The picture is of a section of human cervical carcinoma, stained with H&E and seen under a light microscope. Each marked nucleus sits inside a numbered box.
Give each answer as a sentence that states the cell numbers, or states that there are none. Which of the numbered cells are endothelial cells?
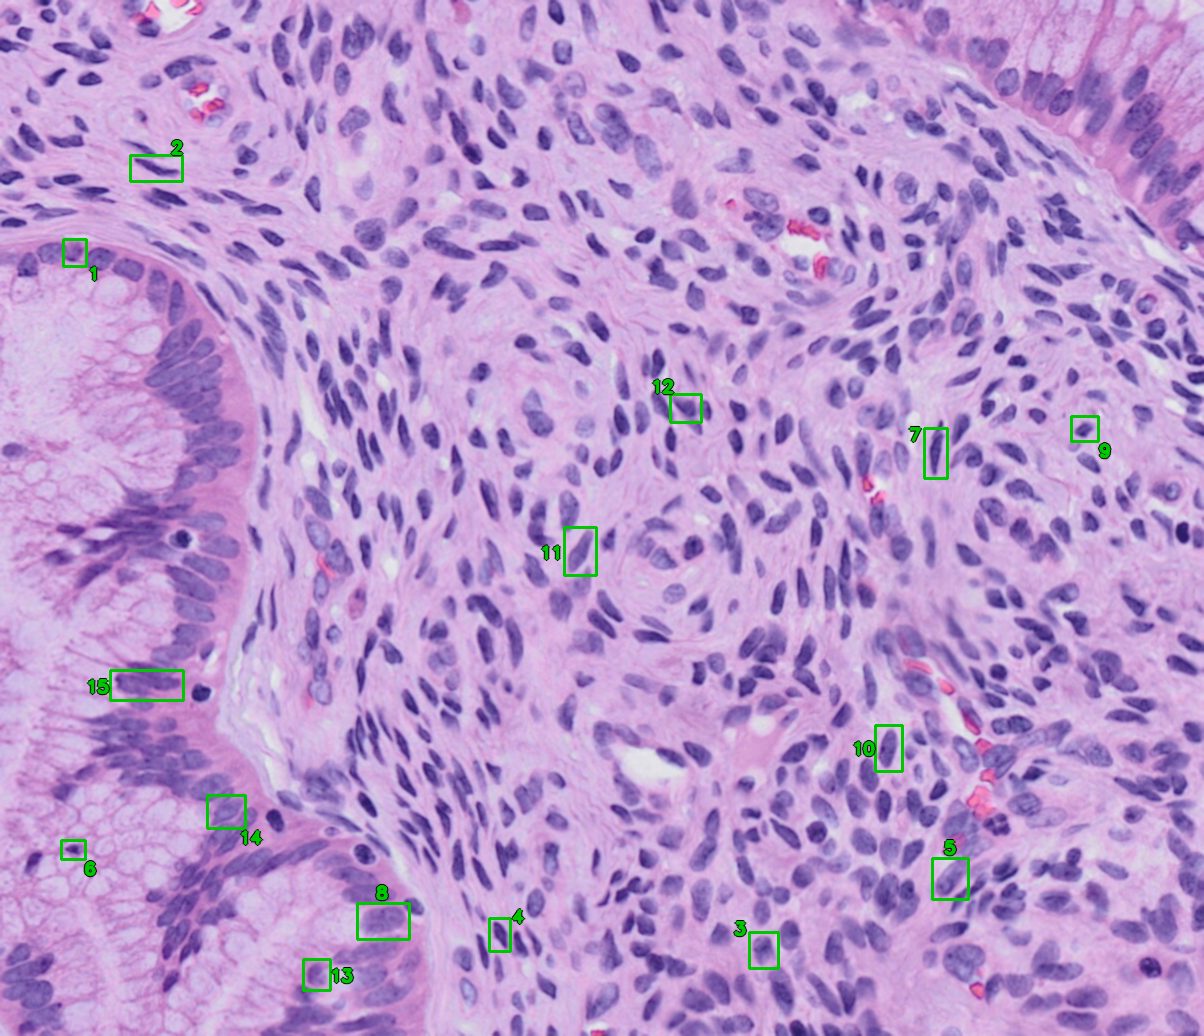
Only the cell numbered 5 qualifies as an endothelial cell among the marked cells.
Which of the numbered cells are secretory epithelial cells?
The cells to which the numbers 1, 6, 8, 13, 14 and 15 refer are secretory epithelial cells.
